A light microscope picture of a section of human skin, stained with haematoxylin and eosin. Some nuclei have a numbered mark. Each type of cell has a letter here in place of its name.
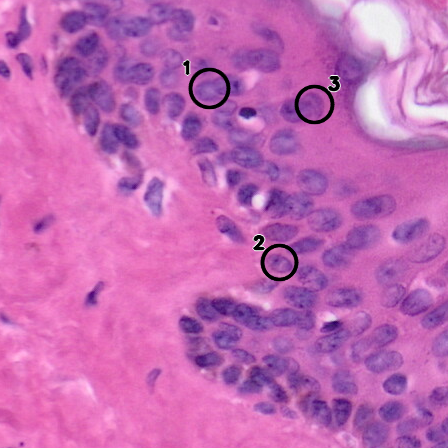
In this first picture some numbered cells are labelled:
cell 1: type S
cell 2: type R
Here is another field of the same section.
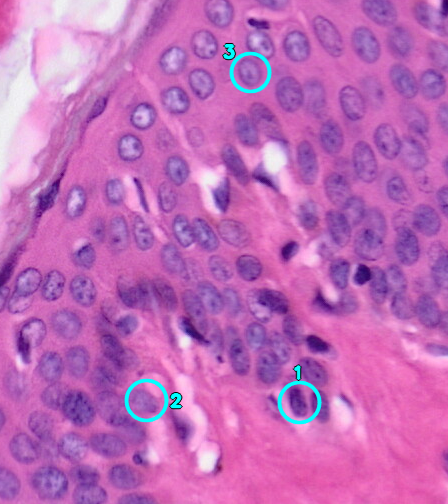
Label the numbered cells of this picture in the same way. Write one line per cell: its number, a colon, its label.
1: type R
2: type R
3: type S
